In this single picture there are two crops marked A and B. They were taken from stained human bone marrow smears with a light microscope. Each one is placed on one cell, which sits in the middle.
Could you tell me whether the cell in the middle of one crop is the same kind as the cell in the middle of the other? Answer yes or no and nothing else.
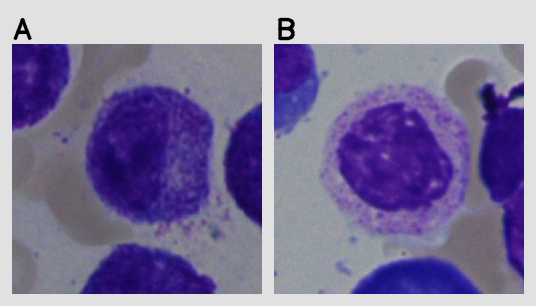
yes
